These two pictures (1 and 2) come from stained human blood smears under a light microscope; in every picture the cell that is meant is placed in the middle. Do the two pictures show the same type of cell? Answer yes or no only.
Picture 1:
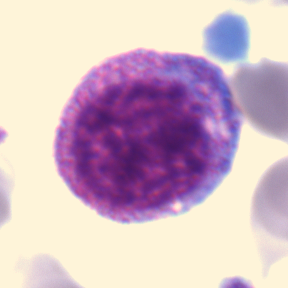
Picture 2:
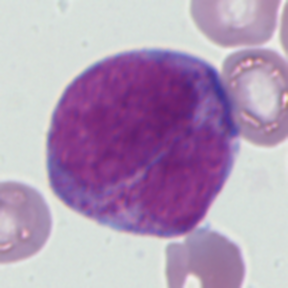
yes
